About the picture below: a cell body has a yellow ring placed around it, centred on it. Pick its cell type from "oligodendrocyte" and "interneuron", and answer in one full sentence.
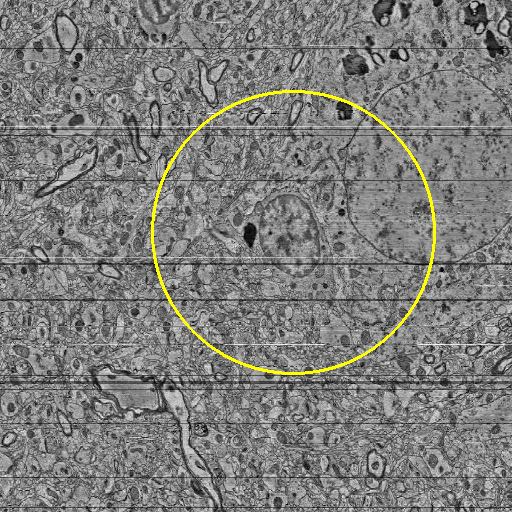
In the picture, an oligodendrocyte is the cell sitting at the centre of the yellow ring.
